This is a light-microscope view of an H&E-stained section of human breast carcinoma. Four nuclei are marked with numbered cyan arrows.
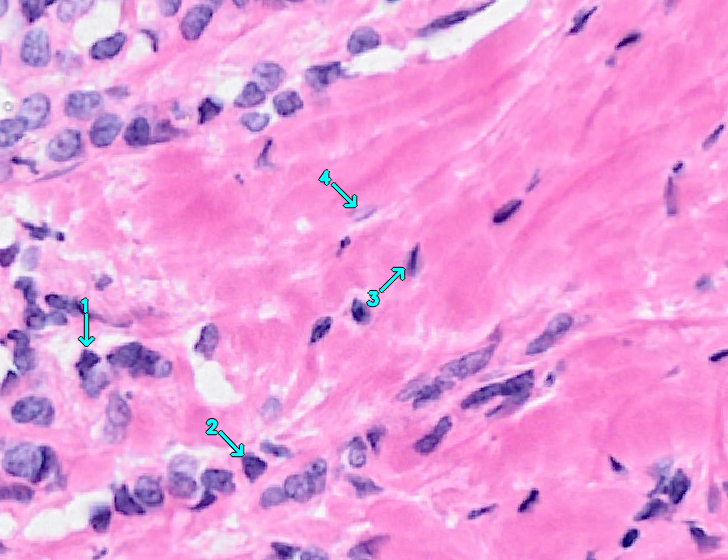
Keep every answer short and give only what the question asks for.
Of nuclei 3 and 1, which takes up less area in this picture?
3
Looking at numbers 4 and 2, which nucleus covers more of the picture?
2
